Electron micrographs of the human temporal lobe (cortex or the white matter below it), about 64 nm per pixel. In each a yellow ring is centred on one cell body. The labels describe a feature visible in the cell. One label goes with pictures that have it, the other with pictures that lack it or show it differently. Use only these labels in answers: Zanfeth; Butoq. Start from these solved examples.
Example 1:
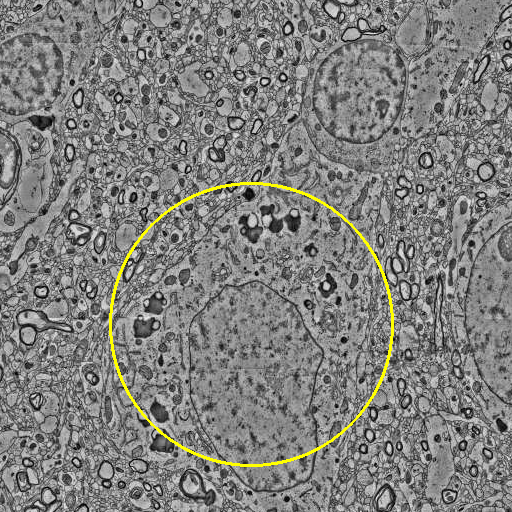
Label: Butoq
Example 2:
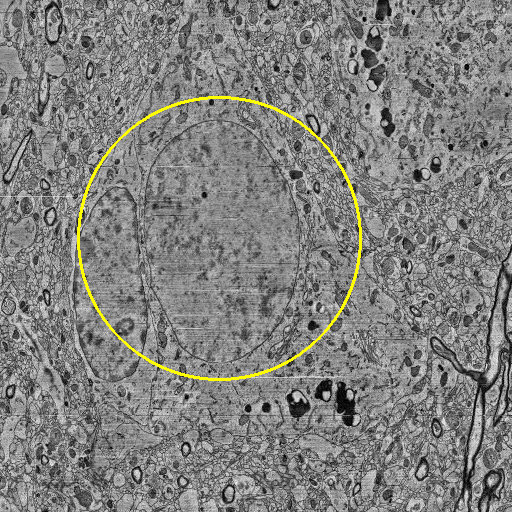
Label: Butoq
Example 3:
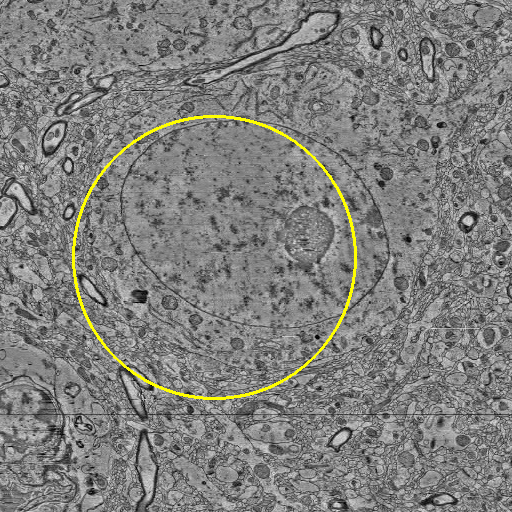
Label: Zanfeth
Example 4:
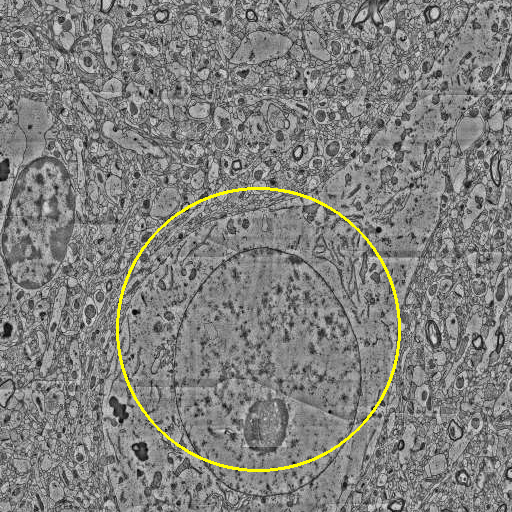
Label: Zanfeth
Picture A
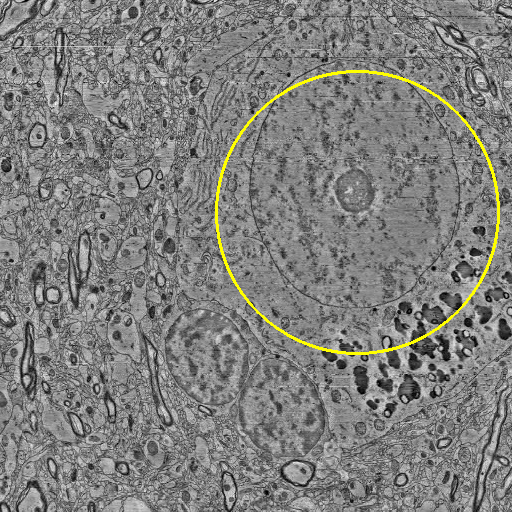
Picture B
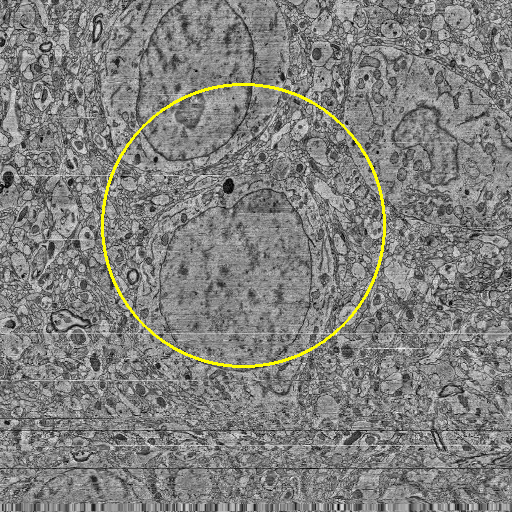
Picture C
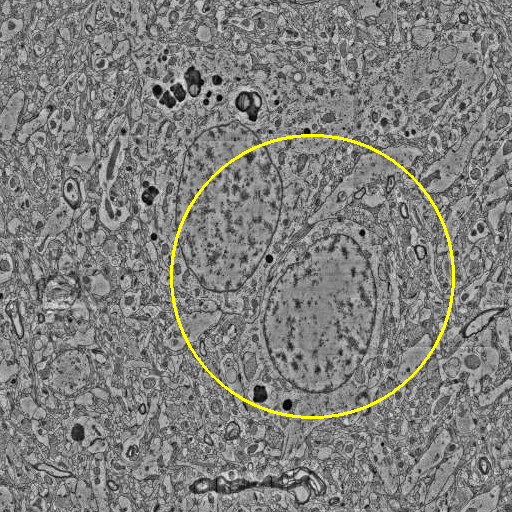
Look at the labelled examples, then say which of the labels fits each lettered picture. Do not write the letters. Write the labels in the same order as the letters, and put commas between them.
Zanfeth, Butoq, Butoq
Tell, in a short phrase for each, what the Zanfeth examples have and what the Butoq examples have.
Seen in Zanfeth: nucleolus seen; seen in Butoq: no nucleolus seen.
